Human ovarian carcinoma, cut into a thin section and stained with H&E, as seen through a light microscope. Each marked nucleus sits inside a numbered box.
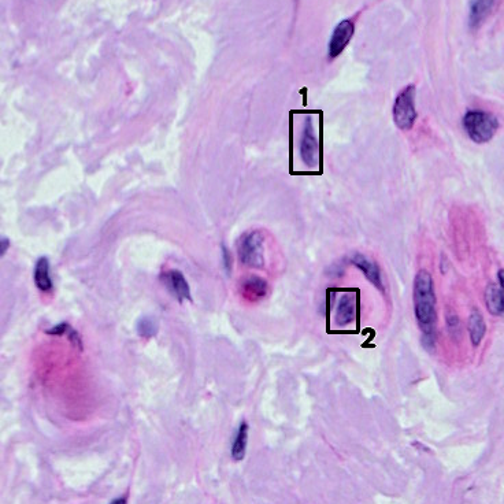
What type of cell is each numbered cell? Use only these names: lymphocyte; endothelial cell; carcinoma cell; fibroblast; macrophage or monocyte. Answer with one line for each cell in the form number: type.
1: fibroblast
2: endothelial cell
